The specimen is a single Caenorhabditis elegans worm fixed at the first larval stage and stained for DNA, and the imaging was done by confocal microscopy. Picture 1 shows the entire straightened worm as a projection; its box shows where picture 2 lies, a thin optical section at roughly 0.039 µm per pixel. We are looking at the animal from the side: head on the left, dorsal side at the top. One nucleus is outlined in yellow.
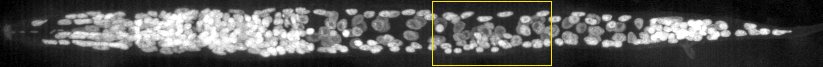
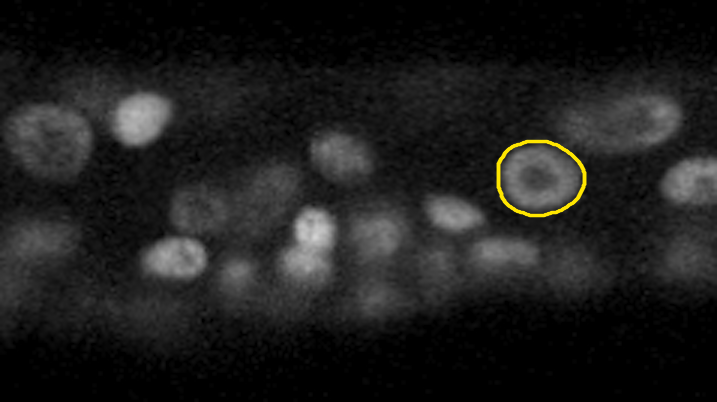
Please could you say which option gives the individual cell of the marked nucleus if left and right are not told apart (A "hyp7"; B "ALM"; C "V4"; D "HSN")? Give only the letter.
C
